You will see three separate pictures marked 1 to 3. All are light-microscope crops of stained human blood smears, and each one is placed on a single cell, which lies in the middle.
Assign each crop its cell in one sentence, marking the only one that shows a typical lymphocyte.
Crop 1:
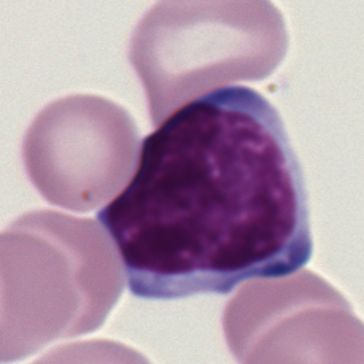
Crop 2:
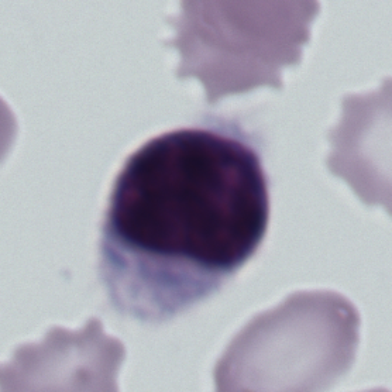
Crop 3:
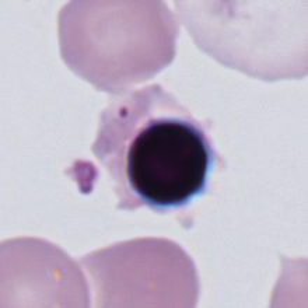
The middle of crop 1 holds a typical lymphocyte, while crop 2 is a hairy cell and crop 3 is a normoblast.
